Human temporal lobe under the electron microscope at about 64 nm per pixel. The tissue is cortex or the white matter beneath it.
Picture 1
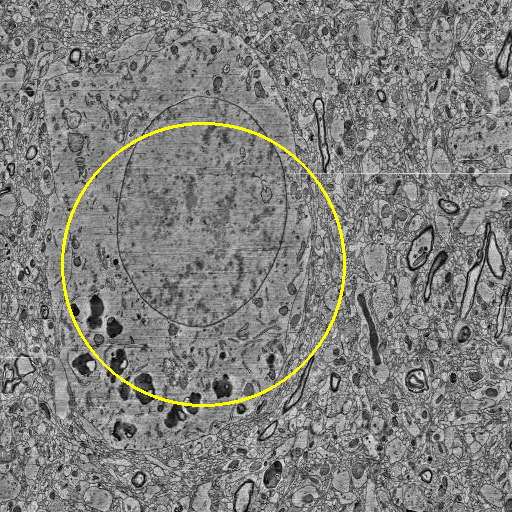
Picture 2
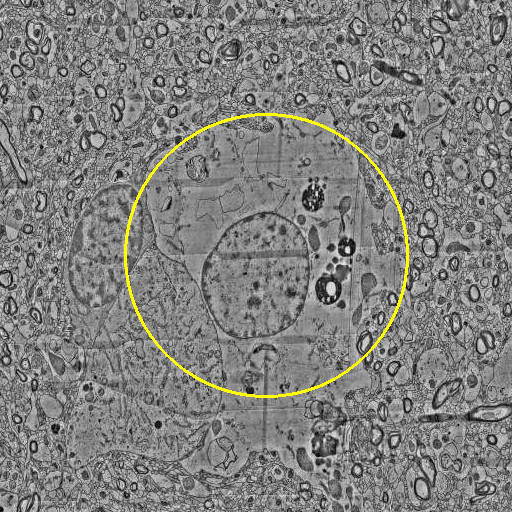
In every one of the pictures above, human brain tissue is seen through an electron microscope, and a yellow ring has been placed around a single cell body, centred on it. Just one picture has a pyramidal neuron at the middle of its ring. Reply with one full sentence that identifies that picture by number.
It is picture 1 that shows the wanted cell at its ring's centre.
